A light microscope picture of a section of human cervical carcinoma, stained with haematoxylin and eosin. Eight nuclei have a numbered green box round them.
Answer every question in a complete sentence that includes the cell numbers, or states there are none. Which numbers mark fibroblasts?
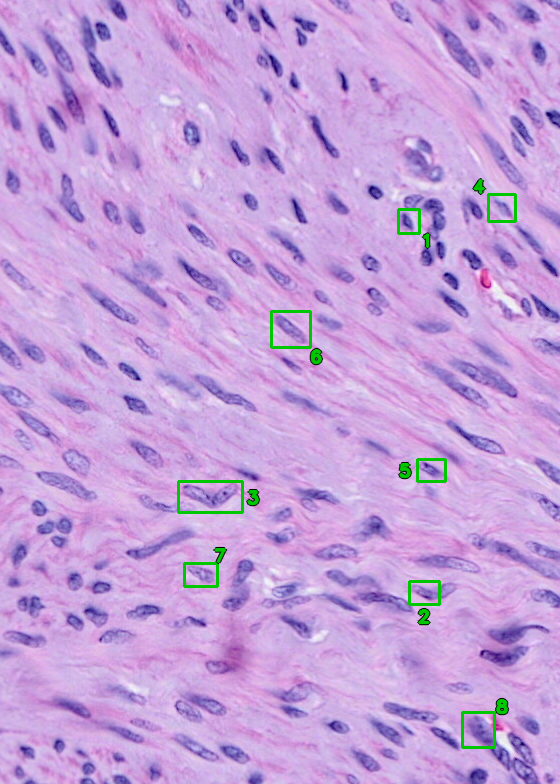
The cells picked out by numbers 1 and 4 are fibroblasts.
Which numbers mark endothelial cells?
The nucleus numbered 8 is the only one that belongs to an endothelial cell.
